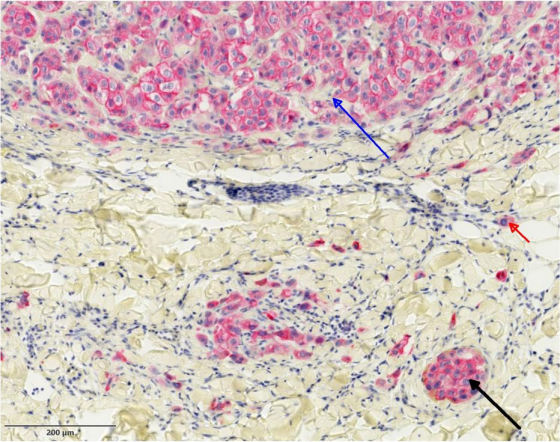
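Dermis with a nodular infiltrate of tumour cells at the top and scattered tumour cells and small clusters in the collagen below, all of them with red cytoplasmic stain. The tumour cells are large with round nuclei and ample red cytoplasm; a rounded red cluster fills a thin-walled vessel at the lower right, while the surrounding dermal cells remain blue only.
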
